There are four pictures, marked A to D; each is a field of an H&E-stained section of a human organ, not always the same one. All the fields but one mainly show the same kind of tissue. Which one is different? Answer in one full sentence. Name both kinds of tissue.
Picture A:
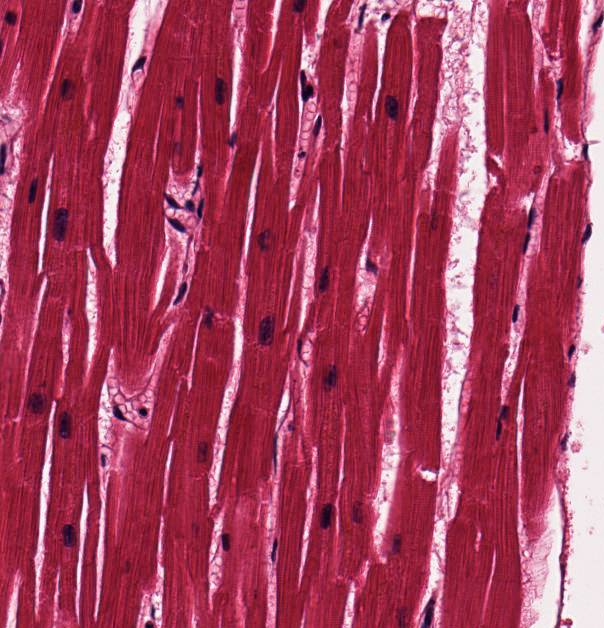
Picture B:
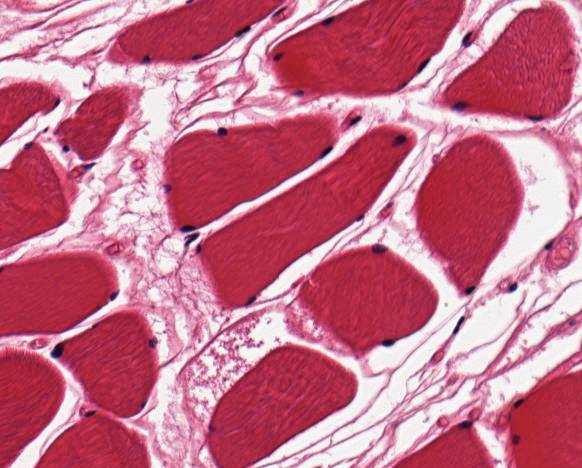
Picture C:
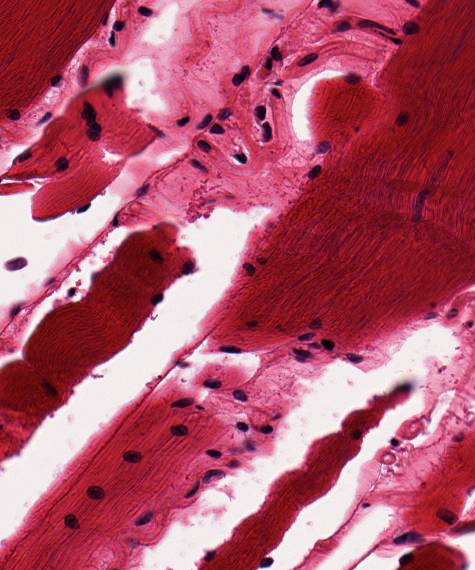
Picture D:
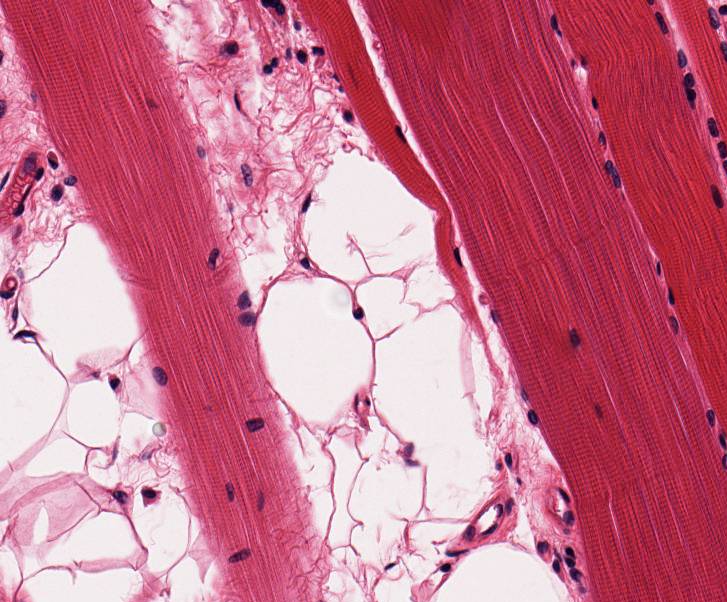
All pictures except A mainly show skeletal muscle; picture A mainly shows cardiac muscle.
